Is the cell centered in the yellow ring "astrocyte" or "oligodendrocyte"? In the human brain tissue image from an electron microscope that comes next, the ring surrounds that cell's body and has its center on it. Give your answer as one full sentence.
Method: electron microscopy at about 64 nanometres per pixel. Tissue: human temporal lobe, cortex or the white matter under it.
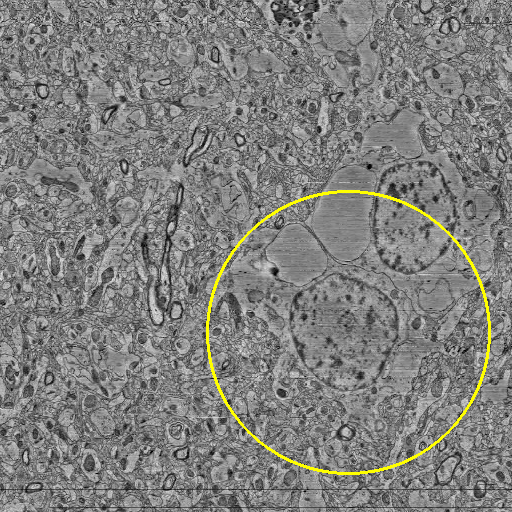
The cell at the center of the yellow ring is an astrocyte in the micrograph.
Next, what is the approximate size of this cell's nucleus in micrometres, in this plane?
About 7 micrometres across, as seen in this plane.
